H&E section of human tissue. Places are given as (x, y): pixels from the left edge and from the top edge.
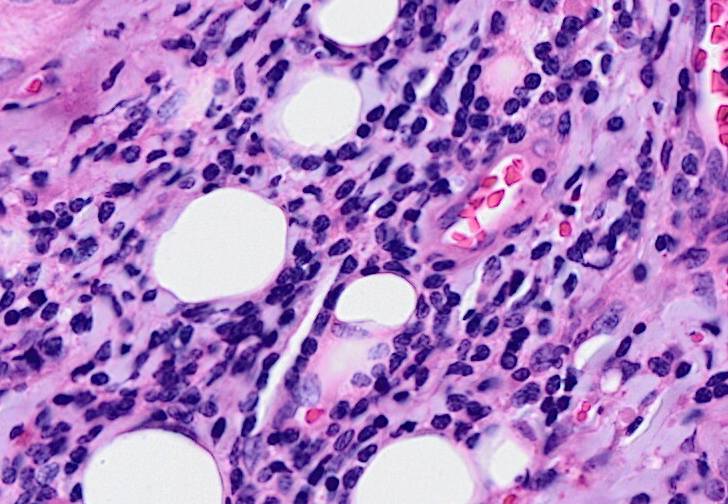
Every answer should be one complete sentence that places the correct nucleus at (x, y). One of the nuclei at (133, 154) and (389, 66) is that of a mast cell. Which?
The nucleus of a mast cell lies at (133, 154), not at the other position.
